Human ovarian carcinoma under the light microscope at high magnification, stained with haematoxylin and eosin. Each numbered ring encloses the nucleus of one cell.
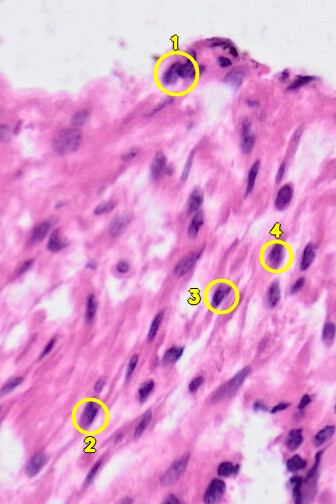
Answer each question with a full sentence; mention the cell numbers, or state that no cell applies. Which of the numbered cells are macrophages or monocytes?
Of the cells marked with numbers, cell 1 is the only one that is a macrophage or monocyte.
